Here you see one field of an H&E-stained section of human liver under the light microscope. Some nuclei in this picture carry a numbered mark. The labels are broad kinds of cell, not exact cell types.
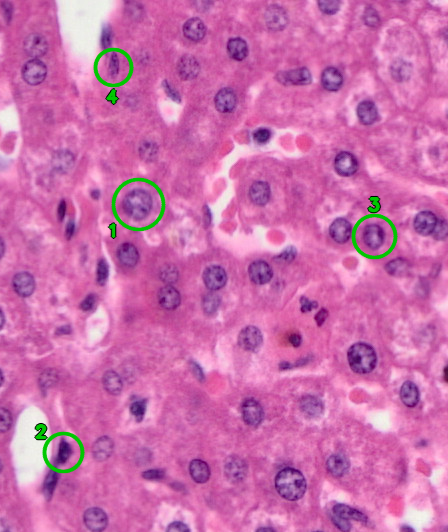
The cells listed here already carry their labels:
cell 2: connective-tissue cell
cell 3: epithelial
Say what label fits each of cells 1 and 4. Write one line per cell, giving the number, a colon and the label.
1: epithelial
4: connective-tissue cell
